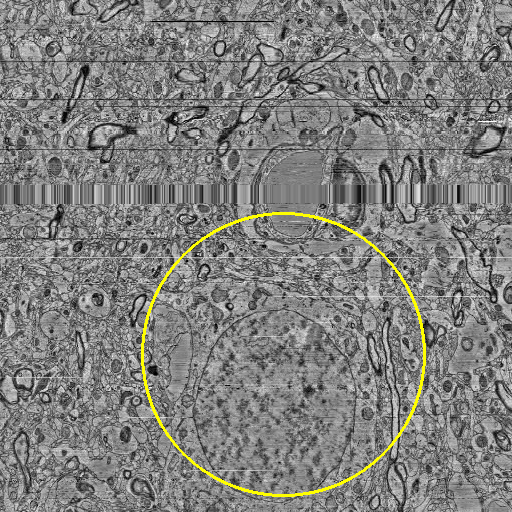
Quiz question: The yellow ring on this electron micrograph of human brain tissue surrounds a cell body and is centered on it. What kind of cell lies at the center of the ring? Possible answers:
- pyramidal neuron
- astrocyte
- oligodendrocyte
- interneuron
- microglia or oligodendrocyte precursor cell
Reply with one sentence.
The ring's center lies on a pyramidal neuron.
